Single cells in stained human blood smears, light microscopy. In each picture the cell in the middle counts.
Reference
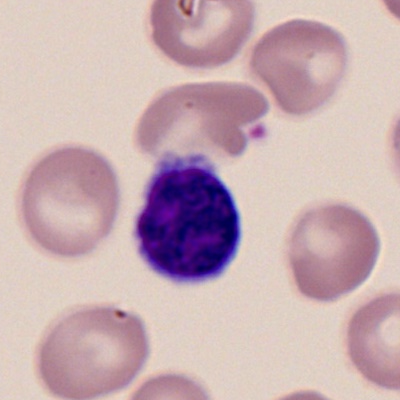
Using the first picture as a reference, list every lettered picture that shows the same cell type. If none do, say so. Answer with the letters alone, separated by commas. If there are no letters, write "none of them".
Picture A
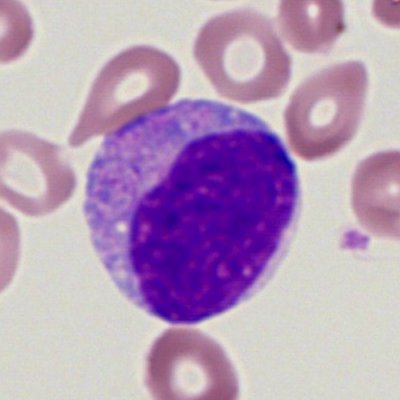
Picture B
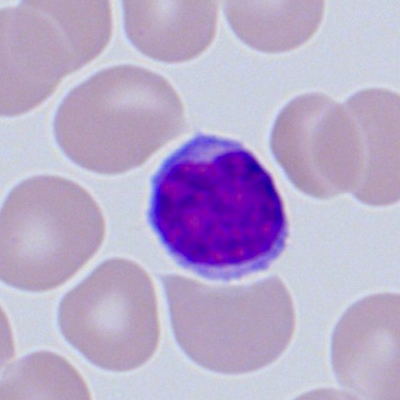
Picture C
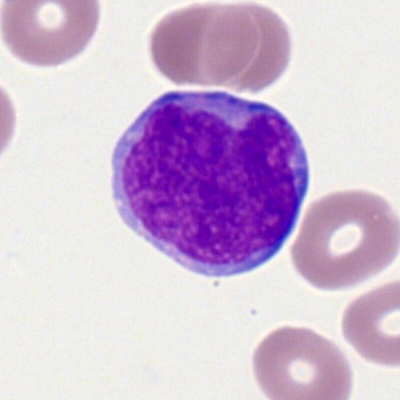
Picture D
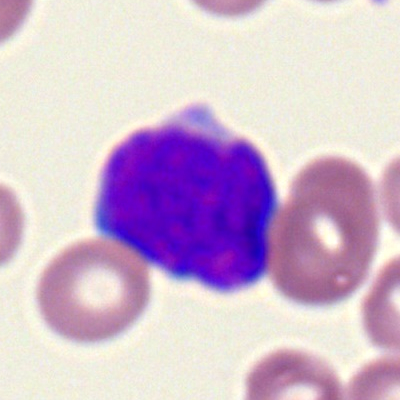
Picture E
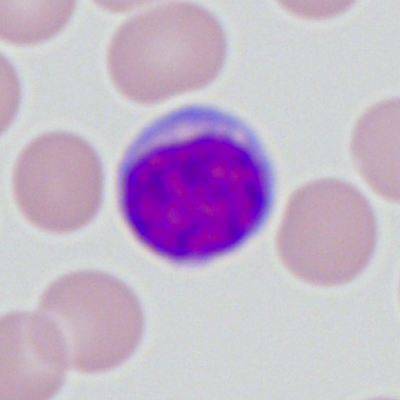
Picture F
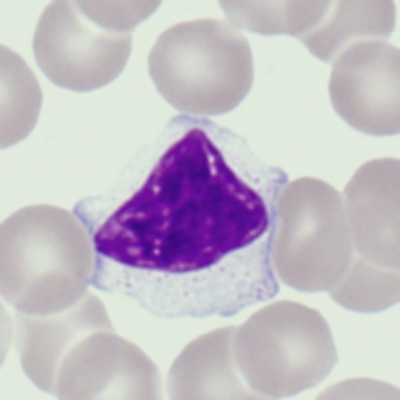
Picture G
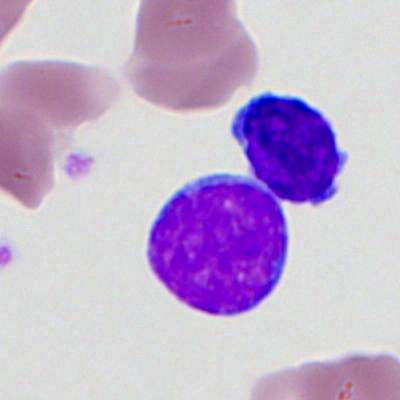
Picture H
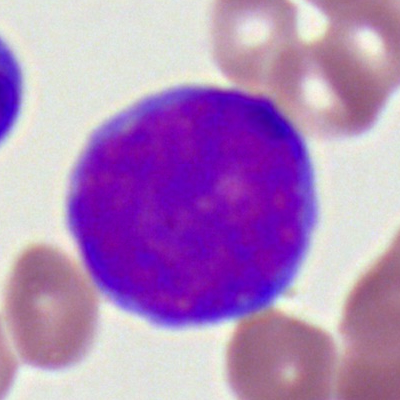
B, E, F, G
